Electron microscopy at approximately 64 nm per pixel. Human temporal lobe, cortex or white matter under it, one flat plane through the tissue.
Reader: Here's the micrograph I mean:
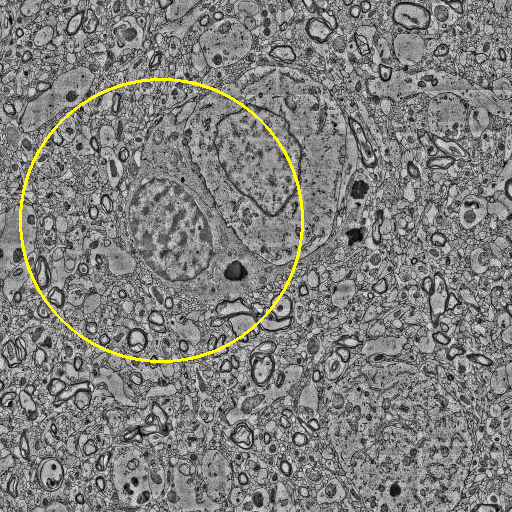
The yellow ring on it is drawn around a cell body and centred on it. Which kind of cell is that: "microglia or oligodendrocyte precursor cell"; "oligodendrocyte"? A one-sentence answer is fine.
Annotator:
The ring is centred on an oligodendrocyte.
